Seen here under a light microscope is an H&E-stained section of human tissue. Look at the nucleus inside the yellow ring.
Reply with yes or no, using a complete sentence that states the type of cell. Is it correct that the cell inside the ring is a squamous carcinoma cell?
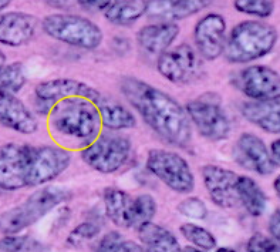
Yes, within this tissue section, the cell inside the ring is a squamous carcinoma cell.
